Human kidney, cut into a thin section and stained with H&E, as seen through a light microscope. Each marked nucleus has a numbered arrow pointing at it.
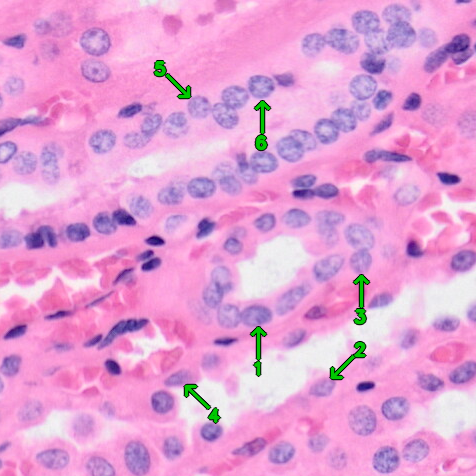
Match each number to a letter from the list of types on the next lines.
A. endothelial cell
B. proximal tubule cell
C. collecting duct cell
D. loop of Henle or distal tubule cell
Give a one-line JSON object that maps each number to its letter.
{"1": "C", "2": "D", "3": "C", "4": "D", "5": "C", "6": "C"}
